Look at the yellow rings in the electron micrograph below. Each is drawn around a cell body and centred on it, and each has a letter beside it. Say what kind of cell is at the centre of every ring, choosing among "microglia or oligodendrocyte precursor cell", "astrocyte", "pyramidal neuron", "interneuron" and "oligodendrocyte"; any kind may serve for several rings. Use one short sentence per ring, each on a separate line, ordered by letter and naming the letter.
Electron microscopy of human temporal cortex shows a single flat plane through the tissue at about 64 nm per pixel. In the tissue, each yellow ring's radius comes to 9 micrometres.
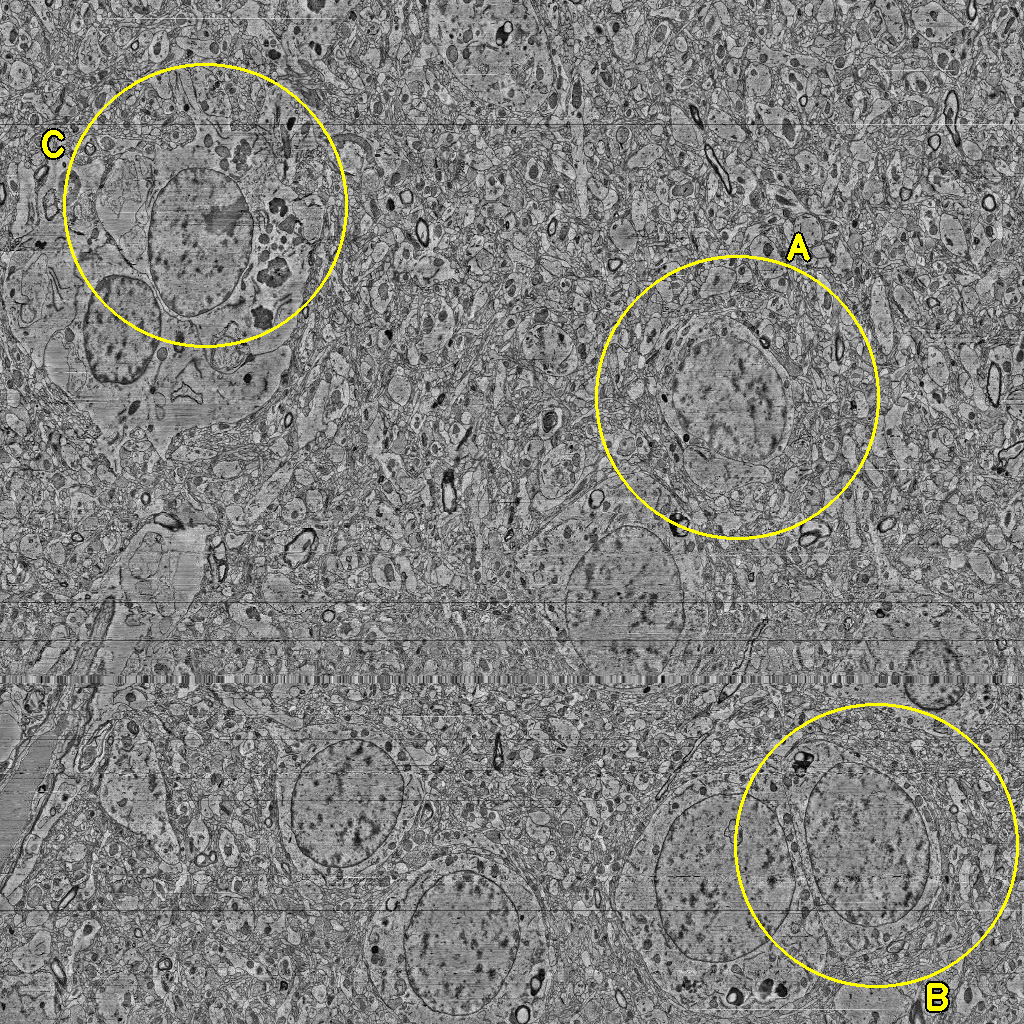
Ring A encircles an interneuron.
Ring B encircles a pyramidal neuron.
Ring C encircles an astrocyte.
